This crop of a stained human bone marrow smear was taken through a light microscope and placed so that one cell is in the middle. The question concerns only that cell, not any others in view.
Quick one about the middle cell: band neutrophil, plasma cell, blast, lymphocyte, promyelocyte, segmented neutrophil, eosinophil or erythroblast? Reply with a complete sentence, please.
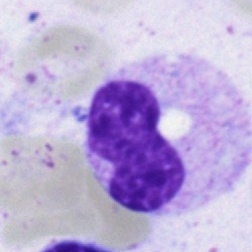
As for the cell in the middle, it is a band neutrophil.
